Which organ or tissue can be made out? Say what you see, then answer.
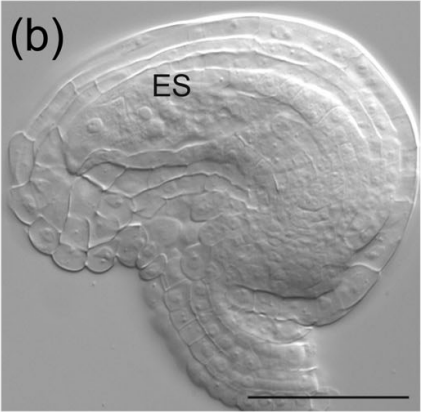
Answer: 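A curved organ wrapped by several layers of flattened cells. A stalk of cells leaves the organ at the lower right. The answer: ovule.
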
